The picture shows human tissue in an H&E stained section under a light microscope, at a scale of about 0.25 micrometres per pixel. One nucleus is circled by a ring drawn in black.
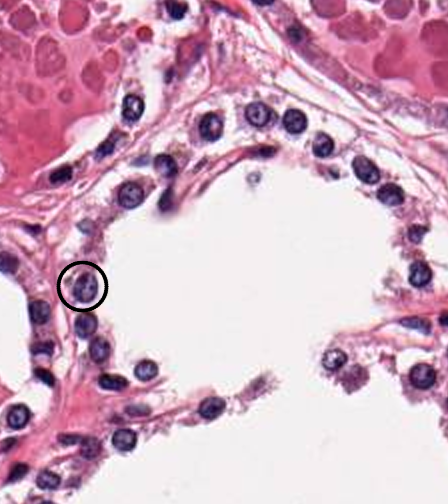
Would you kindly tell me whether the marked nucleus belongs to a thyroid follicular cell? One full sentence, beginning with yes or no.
Yes, the marked nucleus is that of a thyroid follicular cell.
